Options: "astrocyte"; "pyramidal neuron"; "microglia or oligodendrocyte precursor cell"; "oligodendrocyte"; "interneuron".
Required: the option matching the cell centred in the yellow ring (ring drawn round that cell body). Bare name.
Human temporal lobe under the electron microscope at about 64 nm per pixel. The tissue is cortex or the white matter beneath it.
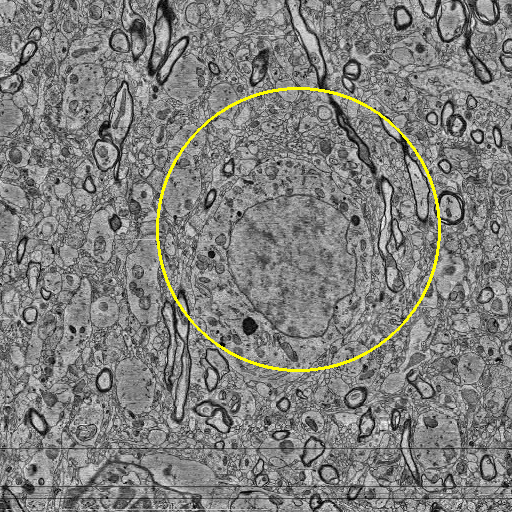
interneuron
